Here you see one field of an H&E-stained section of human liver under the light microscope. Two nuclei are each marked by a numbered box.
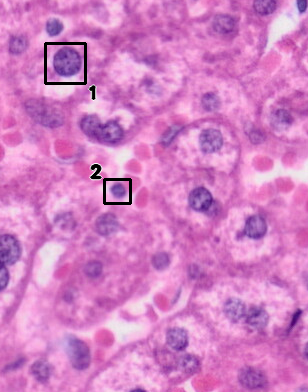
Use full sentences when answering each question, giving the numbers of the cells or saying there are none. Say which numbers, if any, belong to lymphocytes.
Only the cell with number 2 is a lymphocyte.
